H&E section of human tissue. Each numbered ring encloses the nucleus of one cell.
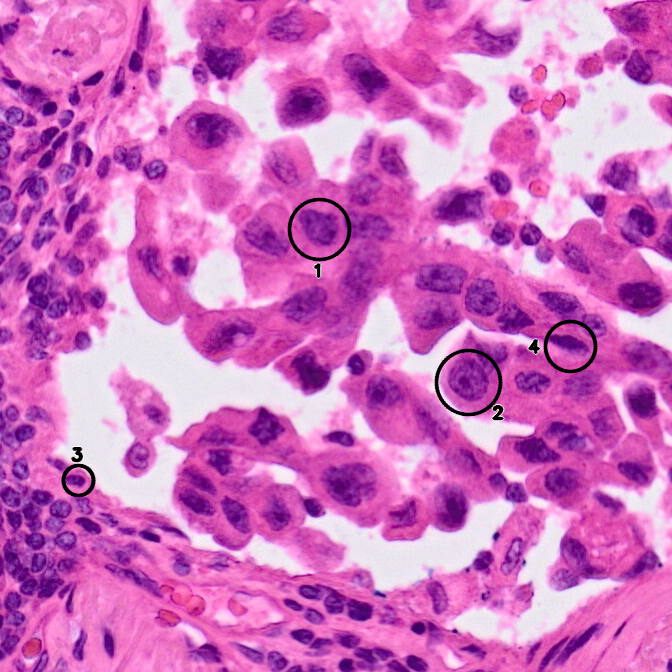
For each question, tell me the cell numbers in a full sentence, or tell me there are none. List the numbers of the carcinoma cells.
Classified as carcinoma cells are the cells numbered 1, 2 and 4.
